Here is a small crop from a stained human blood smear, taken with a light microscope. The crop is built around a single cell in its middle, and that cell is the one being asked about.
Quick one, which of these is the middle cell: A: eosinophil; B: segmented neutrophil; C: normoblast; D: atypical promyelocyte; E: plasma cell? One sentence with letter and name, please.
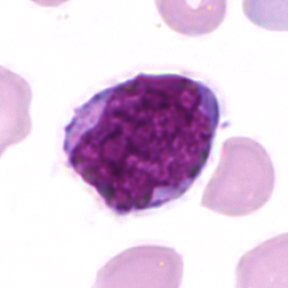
Answer key: option D, the middle cell being an atypical promyelocyte.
